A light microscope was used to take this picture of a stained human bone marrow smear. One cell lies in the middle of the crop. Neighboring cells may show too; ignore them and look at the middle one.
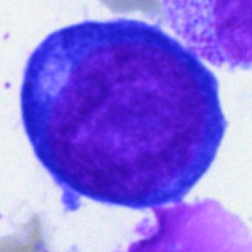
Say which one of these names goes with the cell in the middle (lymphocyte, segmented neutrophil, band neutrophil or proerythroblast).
proerythroblast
